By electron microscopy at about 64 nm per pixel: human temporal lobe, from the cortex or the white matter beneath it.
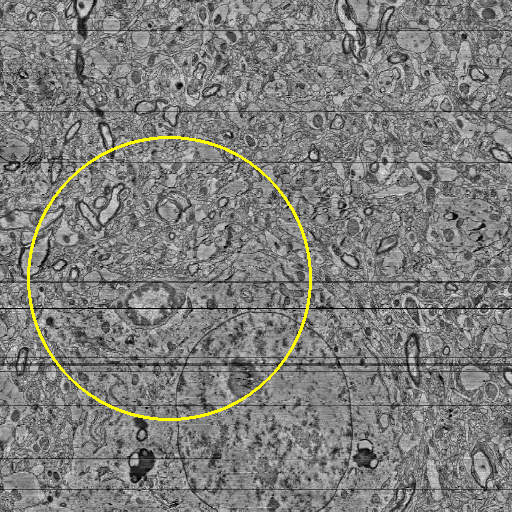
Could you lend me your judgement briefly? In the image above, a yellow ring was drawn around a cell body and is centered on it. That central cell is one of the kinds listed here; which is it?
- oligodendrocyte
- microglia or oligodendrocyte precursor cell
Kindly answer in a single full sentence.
Going by the list, an oligodendrocyte is the kind at the ring's center in the picture.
